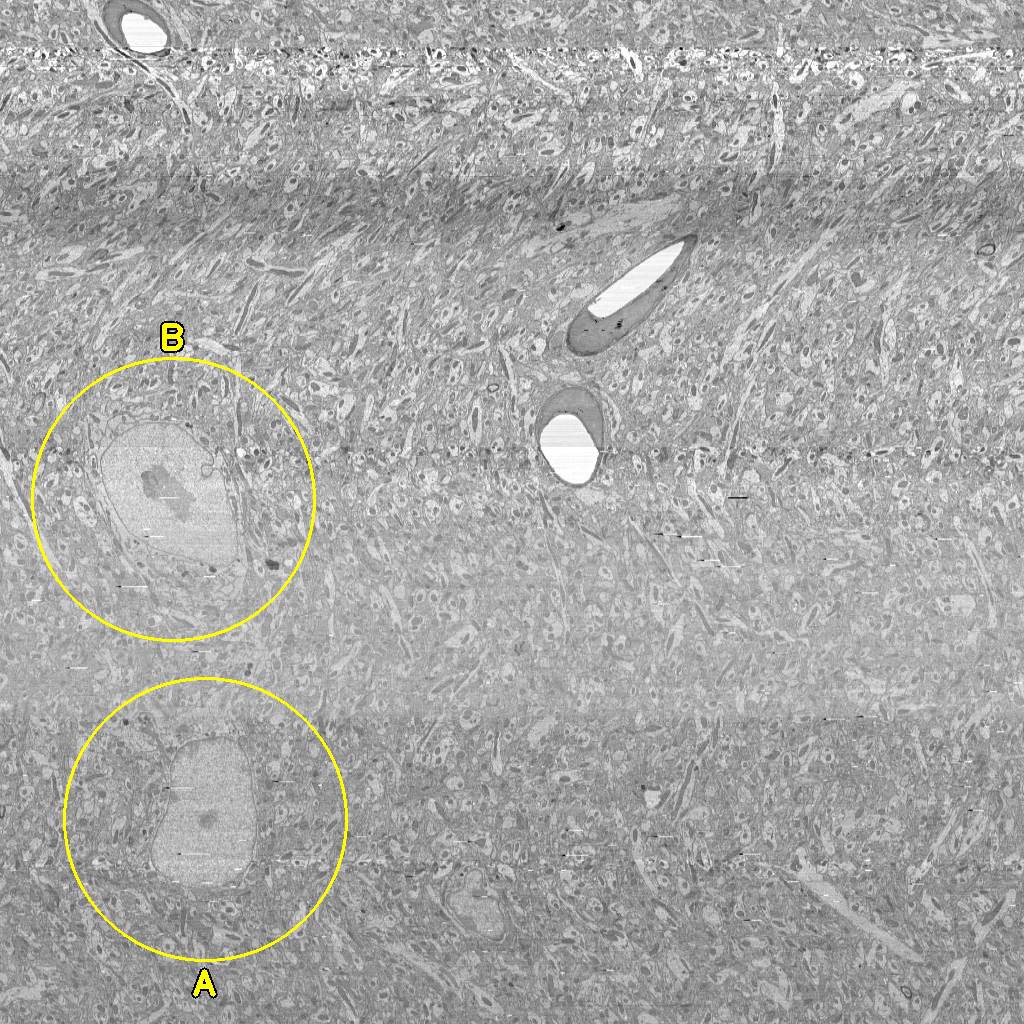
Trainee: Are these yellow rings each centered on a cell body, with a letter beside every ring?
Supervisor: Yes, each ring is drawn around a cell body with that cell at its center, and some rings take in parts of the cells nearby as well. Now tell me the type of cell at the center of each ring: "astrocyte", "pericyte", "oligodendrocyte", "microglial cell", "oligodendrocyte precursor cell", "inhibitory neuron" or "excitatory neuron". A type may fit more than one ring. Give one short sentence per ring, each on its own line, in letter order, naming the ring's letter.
Ring A has an astrocyte at its center.
Ring B has an inhibitory neuron at its center.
